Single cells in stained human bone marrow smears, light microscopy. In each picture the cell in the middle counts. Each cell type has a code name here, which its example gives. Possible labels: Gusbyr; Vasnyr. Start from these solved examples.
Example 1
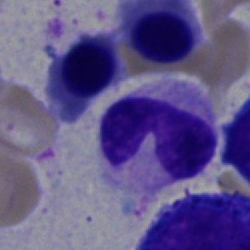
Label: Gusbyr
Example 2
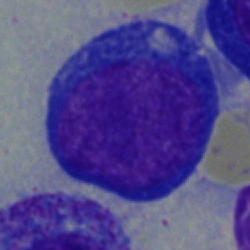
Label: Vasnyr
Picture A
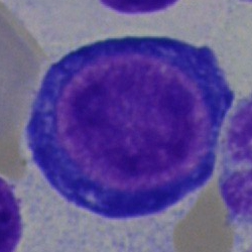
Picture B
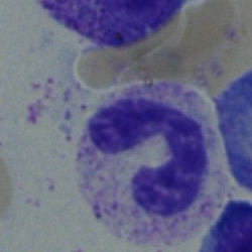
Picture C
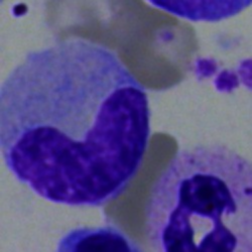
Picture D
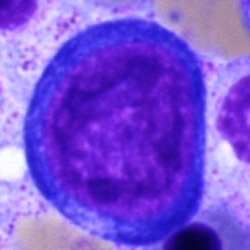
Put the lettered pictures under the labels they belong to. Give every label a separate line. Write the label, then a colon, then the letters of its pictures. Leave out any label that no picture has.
Gusbyr: B, C
Vasnyr: A, D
